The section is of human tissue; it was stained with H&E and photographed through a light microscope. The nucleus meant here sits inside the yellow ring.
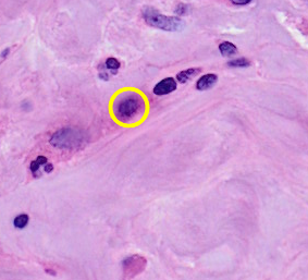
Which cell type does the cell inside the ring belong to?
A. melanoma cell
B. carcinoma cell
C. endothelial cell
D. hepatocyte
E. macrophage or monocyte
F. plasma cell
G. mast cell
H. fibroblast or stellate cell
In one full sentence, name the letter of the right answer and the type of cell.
Under option G, the cell inside the ring is a mast cell, which is the correct identification.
